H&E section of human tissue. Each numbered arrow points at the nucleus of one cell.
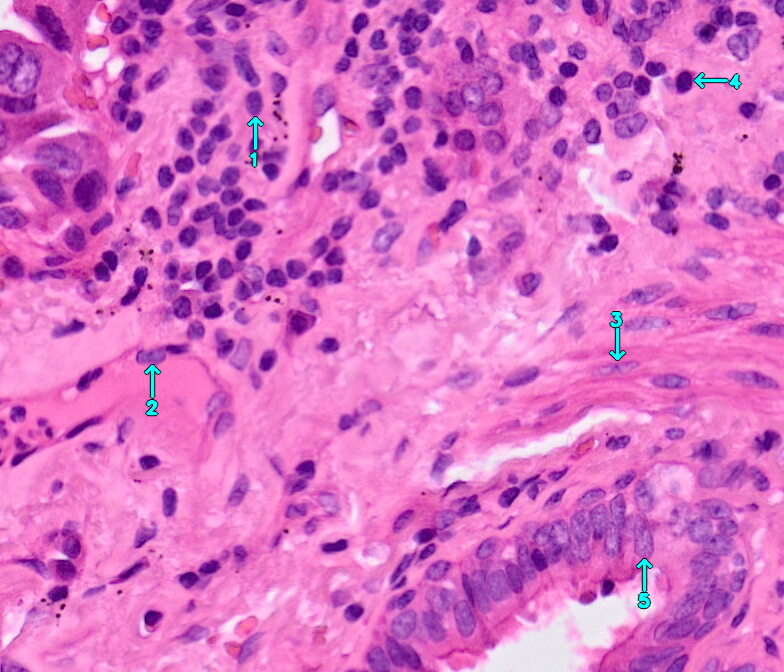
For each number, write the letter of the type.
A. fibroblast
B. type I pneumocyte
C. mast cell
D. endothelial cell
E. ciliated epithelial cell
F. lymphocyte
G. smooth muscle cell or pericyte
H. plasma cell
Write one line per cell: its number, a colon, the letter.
1: F
2: D
3: G
4: H
5: E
